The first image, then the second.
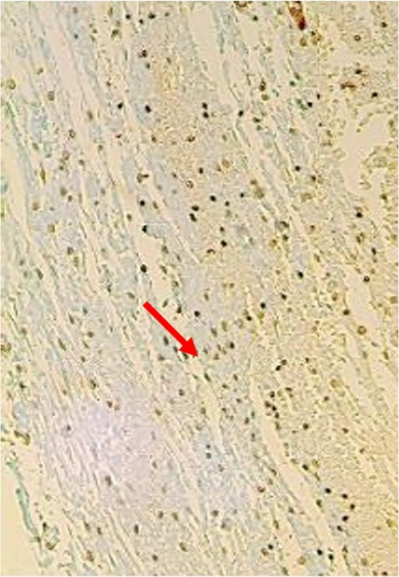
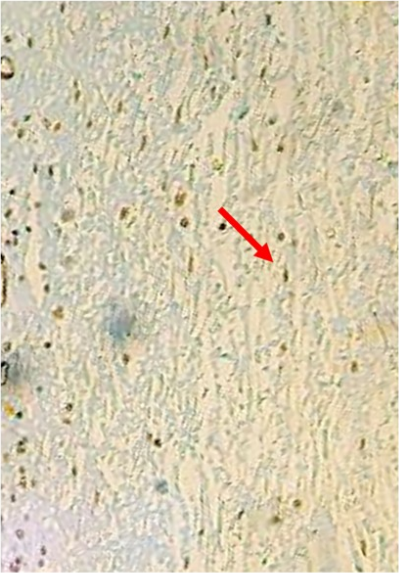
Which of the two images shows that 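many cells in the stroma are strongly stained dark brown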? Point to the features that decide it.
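The first image. Second image: the stroma is pale with only a few scattered darkly stained cells. First image: numerous cells throughout the stroma are stained dark brown.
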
